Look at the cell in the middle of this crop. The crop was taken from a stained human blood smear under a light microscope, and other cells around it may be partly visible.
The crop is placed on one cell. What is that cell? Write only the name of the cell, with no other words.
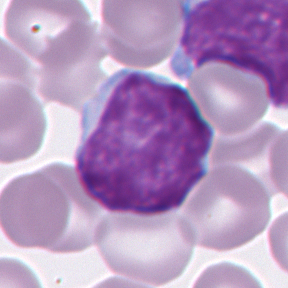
lymphocyte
